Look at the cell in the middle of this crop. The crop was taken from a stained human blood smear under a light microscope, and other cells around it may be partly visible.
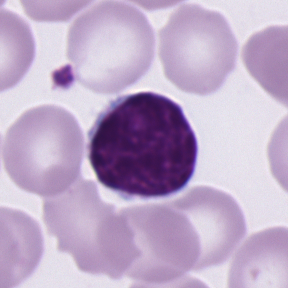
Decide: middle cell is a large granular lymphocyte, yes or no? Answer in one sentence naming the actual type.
No, not a large granular lymphocyte: the cell in the middle of this crop is a typical lymphocyte.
